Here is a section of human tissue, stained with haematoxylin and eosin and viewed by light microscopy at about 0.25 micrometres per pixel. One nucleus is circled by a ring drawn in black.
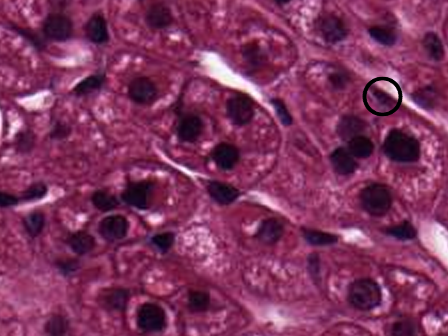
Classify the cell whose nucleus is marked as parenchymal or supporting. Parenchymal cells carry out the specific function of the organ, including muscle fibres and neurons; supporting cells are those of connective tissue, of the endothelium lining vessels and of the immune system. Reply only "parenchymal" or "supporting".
supporting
